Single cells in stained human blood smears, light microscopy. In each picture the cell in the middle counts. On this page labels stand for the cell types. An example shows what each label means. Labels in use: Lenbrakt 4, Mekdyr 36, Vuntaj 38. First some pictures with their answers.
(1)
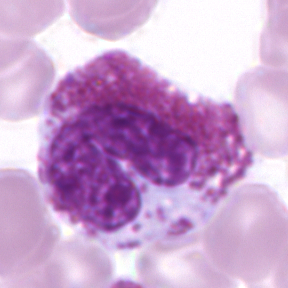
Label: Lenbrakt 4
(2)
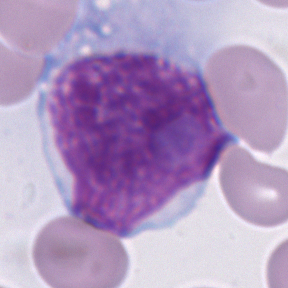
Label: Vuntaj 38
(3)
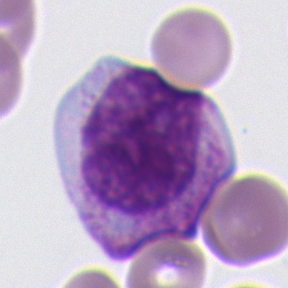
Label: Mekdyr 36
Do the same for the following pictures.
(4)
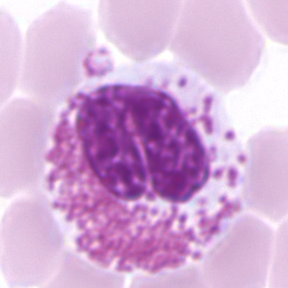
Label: Lenbrakt 4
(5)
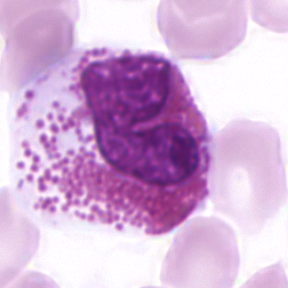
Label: Lenbrakt 4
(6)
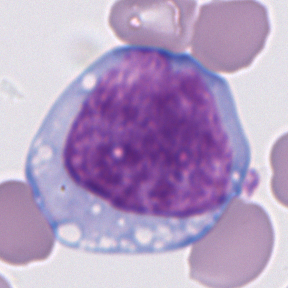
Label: Vuntaj 38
